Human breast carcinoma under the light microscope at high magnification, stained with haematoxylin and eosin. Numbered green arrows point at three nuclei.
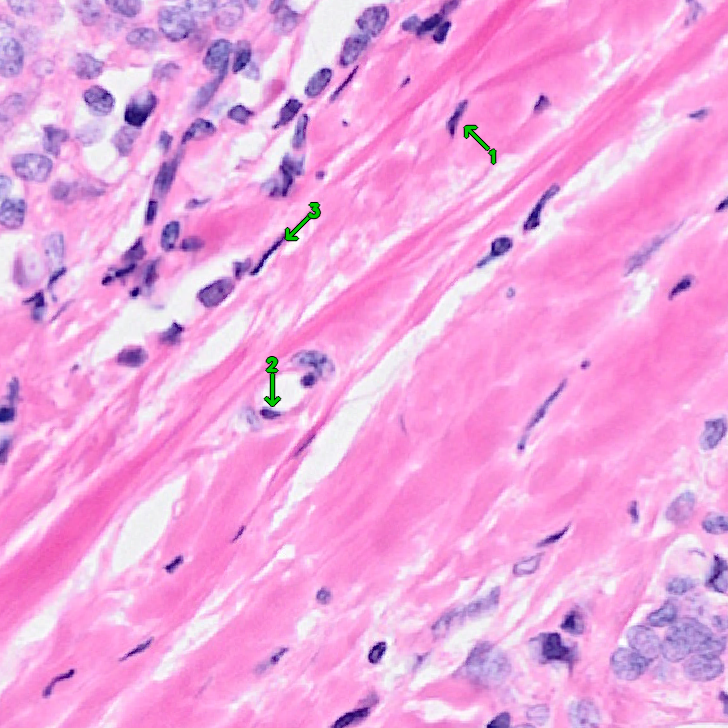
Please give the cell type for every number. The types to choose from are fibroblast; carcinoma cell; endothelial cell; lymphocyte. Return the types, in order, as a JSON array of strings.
["fibroblast", "endothelial cell", "fibroblast"]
